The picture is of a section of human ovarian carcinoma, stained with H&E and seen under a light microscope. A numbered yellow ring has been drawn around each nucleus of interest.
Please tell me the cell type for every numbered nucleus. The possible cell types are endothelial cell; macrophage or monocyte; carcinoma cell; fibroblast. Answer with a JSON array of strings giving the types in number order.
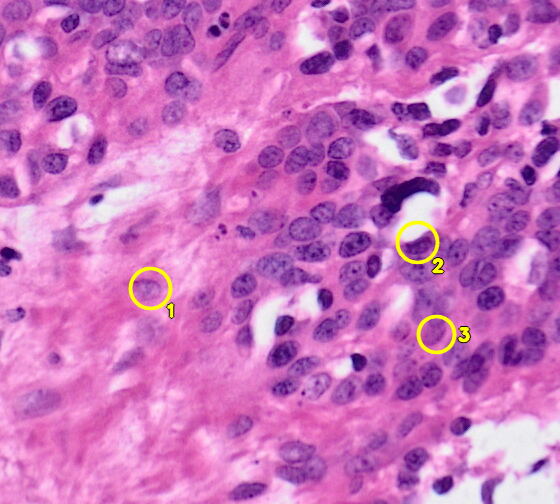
["fibroblast", "carcinoma cell", "carcinoma cell"]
